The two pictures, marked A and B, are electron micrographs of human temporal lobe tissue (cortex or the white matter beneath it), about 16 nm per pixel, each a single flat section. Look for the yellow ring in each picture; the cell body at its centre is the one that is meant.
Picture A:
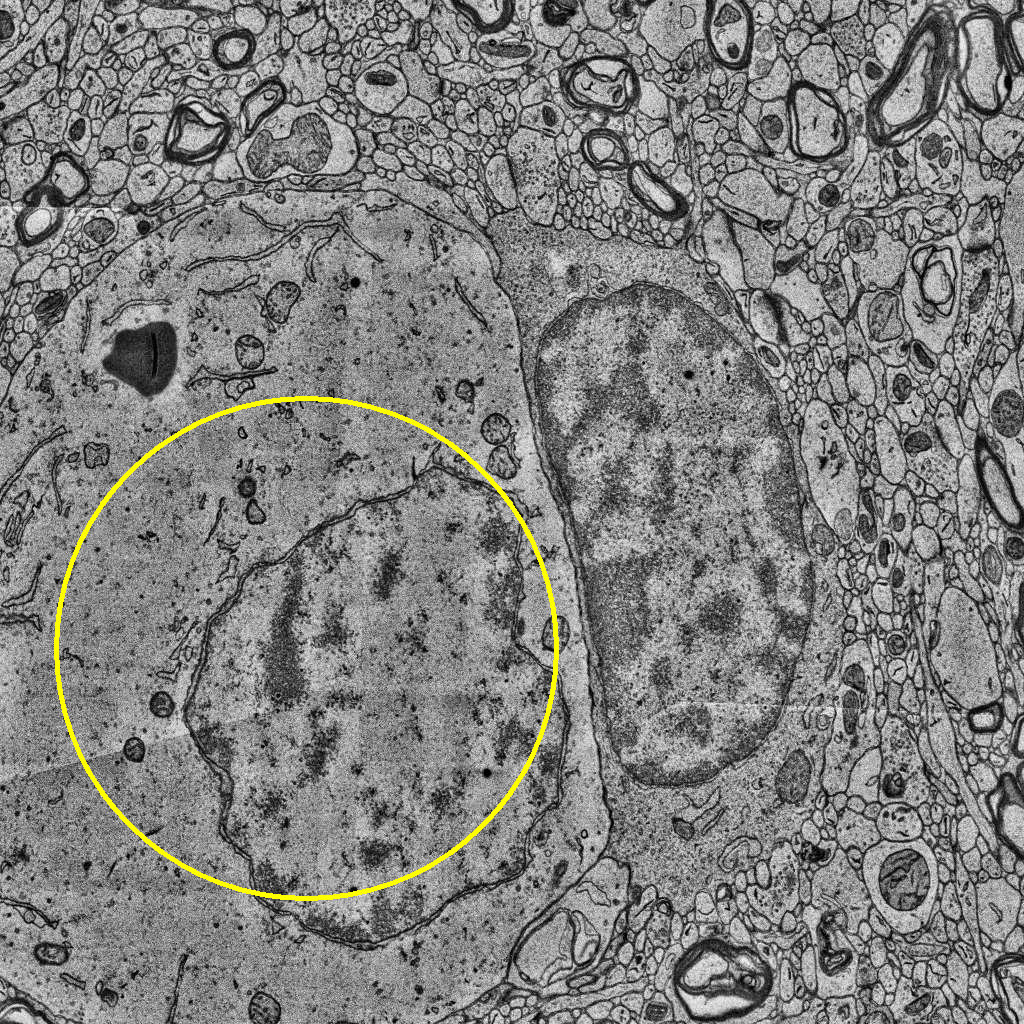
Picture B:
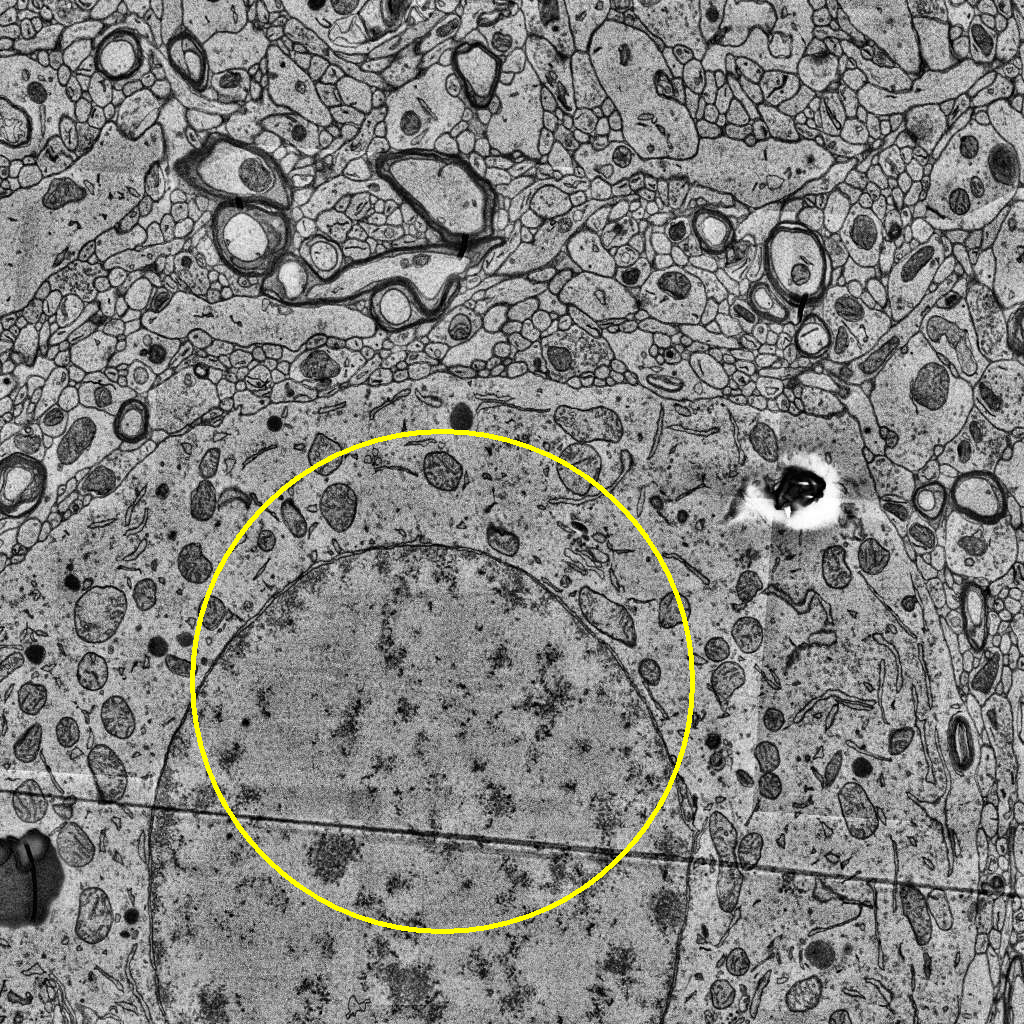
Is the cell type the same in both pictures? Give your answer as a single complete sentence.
Yes; the cells in both pictures are interneurons.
